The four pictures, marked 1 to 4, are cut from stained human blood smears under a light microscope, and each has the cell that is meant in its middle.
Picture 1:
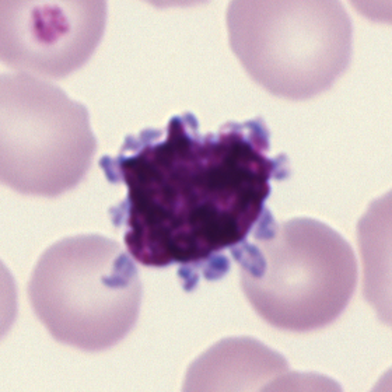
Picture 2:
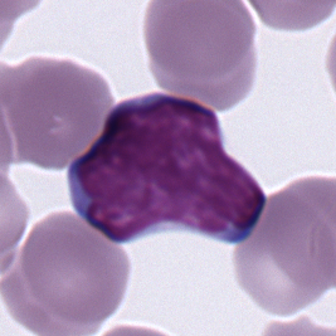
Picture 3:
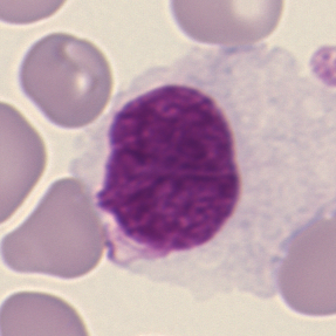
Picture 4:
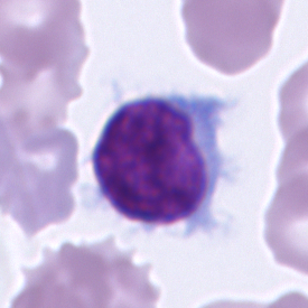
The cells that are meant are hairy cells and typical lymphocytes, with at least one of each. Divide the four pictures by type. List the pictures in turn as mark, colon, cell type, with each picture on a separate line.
1: typical lymphocyte
2: typical lymphocyte
3: hairy cell
4: hairy cell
